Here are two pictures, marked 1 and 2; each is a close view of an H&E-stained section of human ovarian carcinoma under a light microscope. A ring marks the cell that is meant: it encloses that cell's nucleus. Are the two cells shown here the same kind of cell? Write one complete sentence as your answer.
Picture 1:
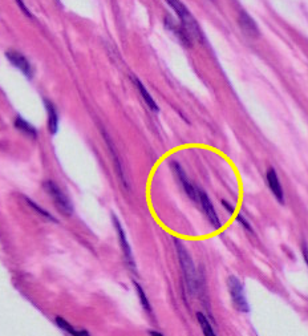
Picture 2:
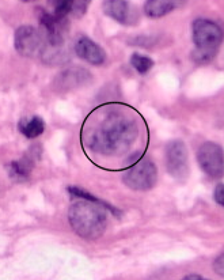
No, the types are not the same, since picture 1 shows a fibroblast and picture 2 a carcinoma cell.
